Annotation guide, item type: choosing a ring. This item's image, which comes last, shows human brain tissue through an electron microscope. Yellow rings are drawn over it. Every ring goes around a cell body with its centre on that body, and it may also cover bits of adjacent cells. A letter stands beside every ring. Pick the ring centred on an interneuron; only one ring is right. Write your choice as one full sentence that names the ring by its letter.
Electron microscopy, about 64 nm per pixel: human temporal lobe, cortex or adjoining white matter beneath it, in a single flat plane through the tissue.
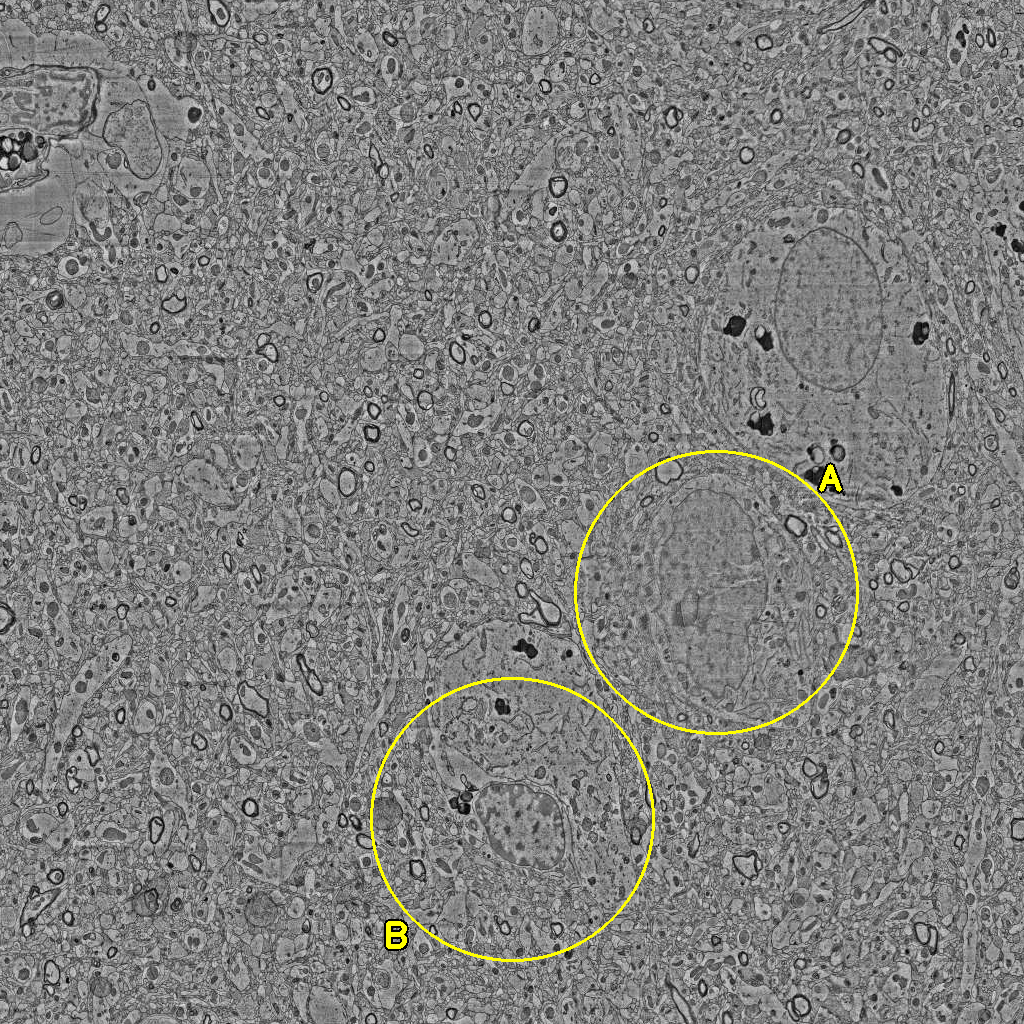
In the image, Ring A is centred on a cell of the kind requested.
